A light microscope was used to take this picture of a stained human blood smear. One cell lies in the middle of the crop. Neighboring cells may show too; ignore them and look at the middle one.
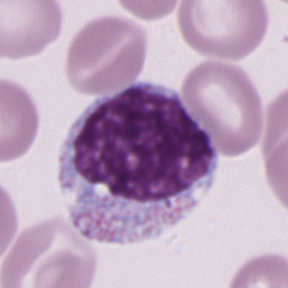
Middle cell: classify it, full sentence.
The centrally positioned cell in the crop represents a myelocyte.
